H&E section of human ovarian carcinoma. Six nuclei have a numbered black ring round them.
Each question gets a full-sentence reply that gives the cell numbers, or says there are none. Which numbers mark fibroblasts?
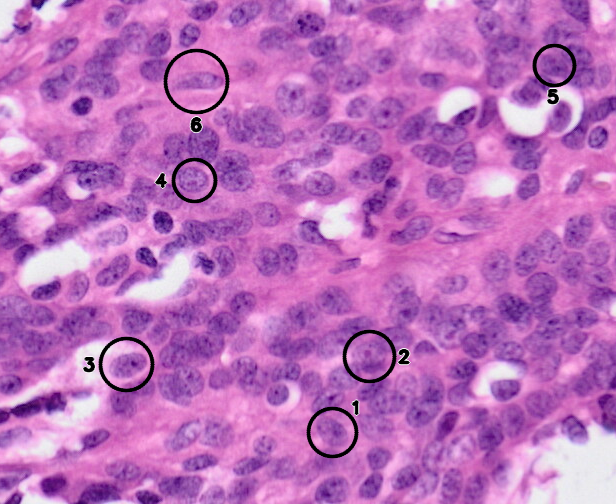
In the set of numbered cells, fibroblasts are not found.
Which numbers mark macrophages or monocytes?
Just one numbered cell is a macrophage or monocyte, and that cell is number 3.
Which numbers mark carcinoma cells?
The cells marked by the numbers 1, 2, 4 and 5 are carcinoma cells.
